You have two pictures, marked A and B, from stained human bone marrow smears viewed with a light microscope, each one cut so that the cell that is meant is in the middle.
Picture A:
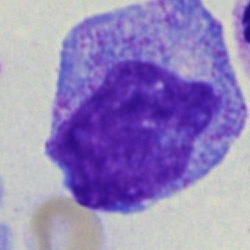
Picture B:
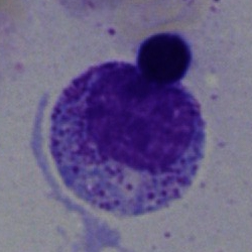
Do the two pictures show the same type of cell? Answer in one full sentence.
Yes, the two pictures both show promyelocytes.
